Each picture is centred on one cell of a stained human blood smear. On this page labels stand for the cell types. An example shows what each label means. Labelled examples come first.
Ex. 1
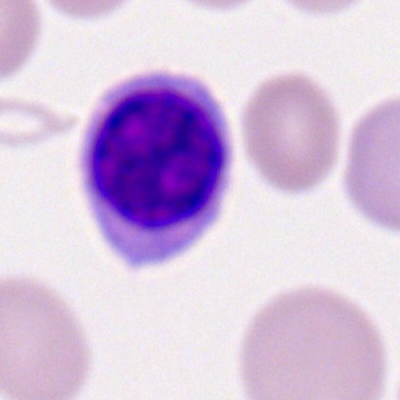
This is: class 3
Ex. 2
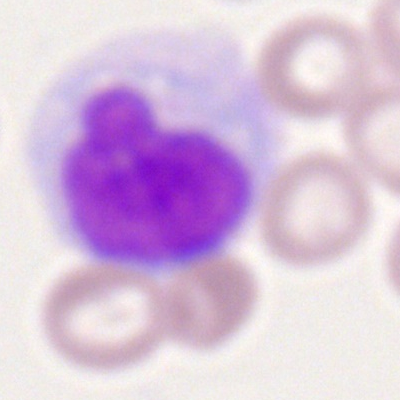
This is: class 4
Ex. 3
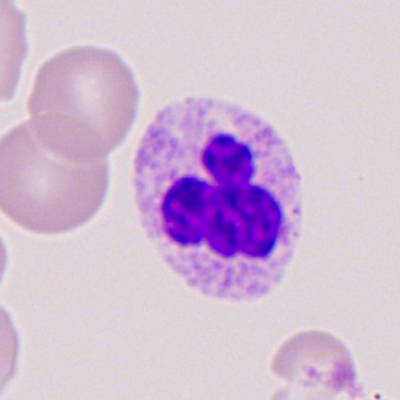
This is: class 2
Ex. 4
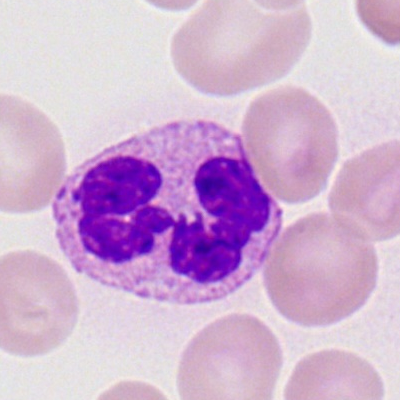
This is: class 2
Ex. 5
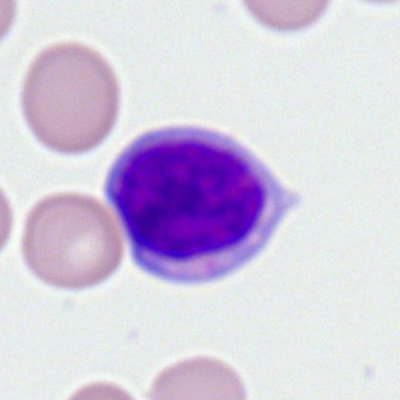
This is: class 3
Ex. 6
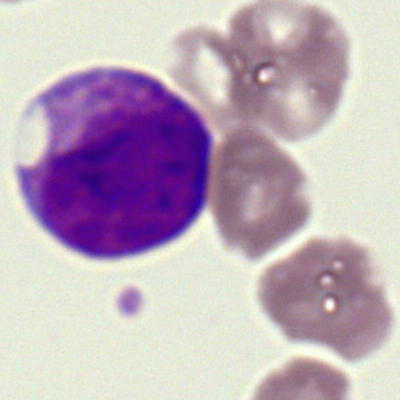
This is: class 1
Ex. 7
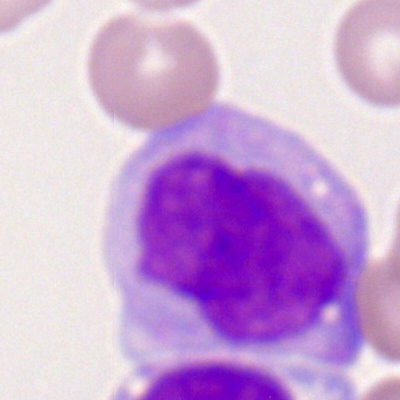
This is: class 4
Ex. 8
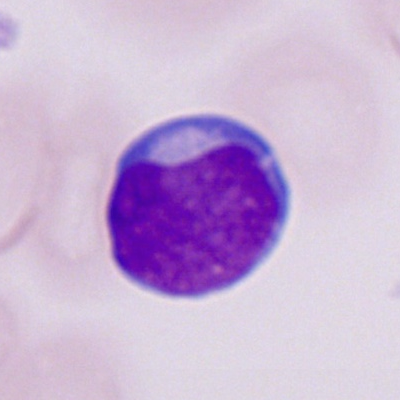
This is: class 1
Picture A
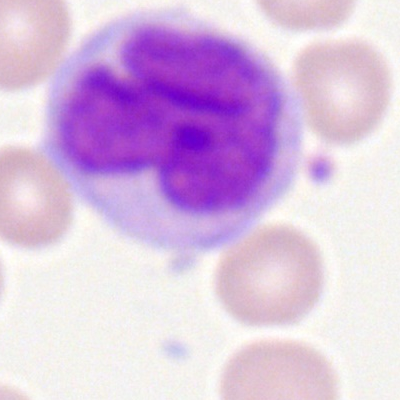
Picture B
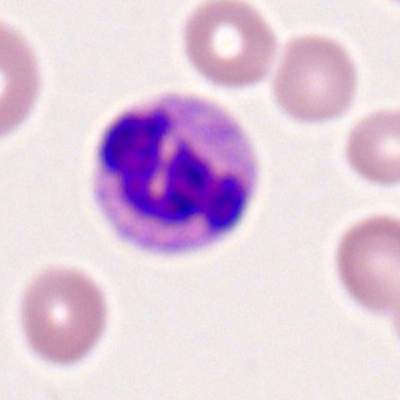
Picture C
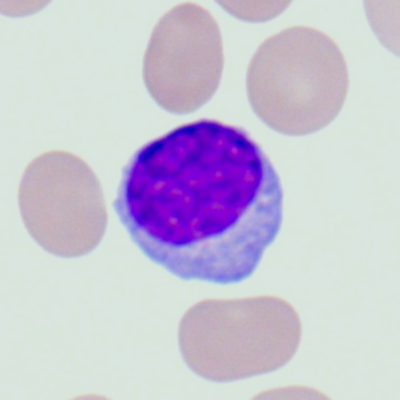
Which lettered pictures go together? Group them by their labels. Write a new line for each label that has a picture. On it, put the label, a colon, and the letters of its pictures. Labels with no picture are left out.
class 3: C
class 4: A
class 2: B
